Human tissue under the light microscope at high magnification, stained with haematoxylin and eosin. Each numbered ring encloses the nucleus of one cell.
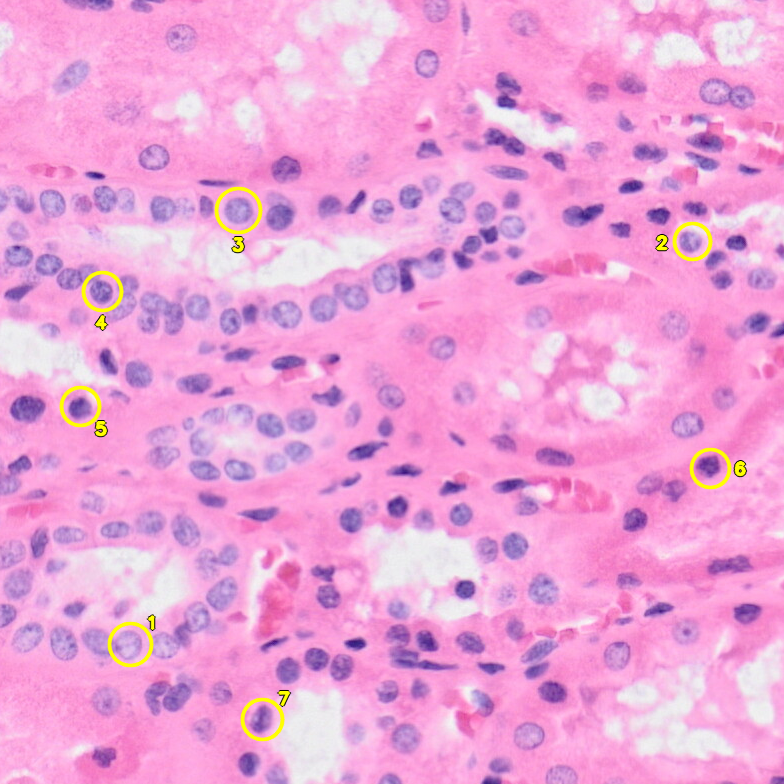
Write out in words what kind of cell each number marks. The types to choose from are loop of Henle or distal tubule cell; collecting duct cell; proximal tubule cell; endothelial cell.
Cell 1 is a collecting duct cell, cell 2 is a loop of Henle or distal tubule cell, cell 3 is a collecting duct cell, cell 4 is a collecting duct cell, cell 5 is a loop of Henle or distal tubule cell, cell 6 is a proximal tubule cell and cell 7 is a loop of Henle or distal tubule cell.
